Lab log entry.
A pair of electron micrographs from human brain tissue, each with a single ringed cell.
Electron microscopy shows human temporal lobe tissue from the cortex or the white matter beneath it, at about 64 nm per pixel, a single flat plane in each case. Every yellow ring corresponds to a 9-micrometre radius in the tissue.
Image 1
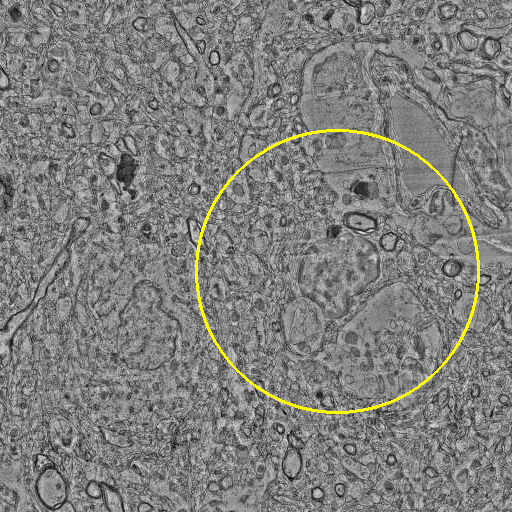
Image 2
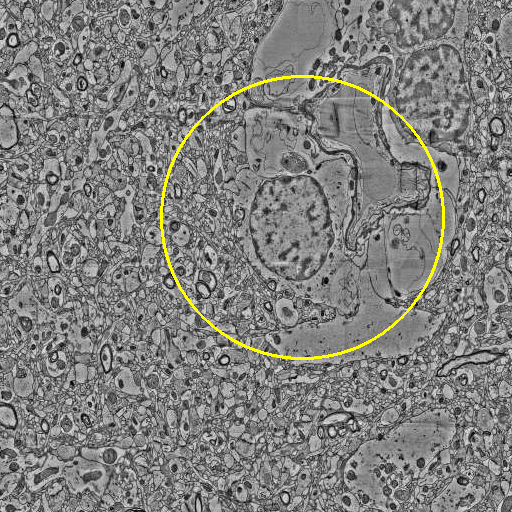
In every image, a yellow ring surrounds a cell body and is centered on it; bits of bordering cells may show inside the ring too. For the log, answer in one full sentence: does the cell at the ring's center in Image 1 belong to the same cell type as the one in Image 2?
Yes, the cells at the ring centers in Image 1 and Image 2 share one type.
